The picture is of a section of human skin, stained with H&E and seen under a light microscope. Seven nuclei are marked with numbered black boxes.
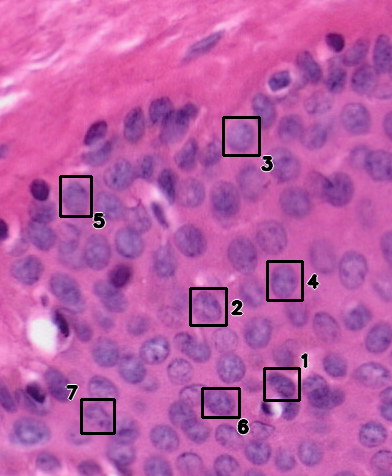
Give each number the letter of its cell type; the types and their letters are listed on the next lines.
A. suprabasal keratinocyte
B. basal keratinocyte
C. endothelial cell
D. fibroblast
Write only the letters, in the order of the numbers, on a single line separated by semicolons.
B; A; B; A; B; A; A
